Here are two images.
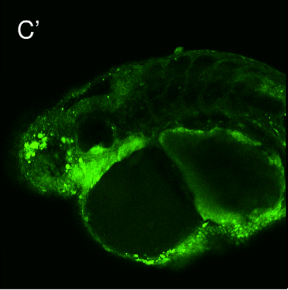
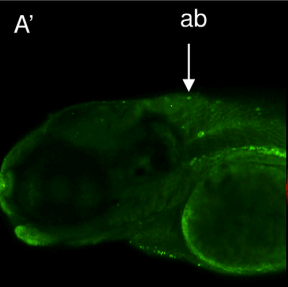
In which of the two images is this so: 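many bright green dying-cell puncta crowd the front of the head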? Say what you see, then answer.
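First image: dense clusters of bright green puncta fill the anterior head and line the yolk edge. Second image: the head shows diffuse green with only a few scattered bright dots.
The first image.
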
